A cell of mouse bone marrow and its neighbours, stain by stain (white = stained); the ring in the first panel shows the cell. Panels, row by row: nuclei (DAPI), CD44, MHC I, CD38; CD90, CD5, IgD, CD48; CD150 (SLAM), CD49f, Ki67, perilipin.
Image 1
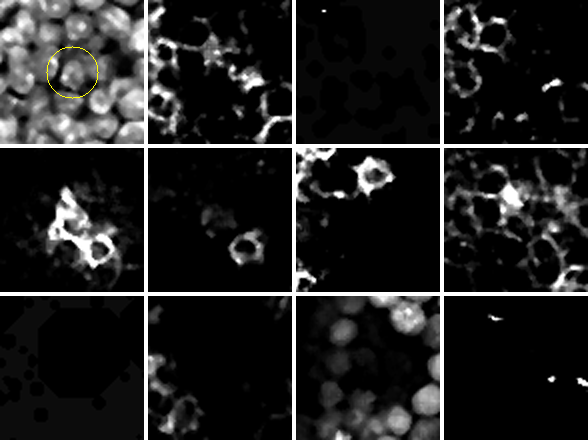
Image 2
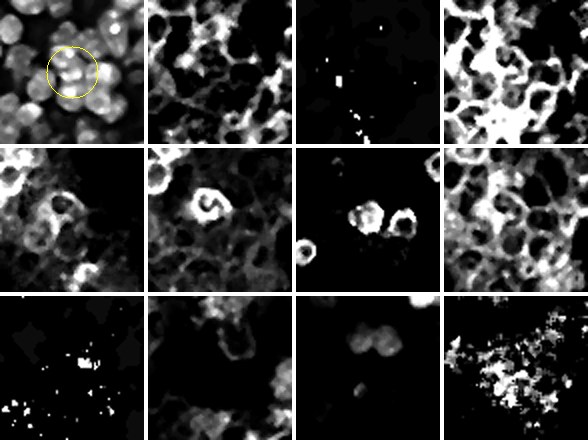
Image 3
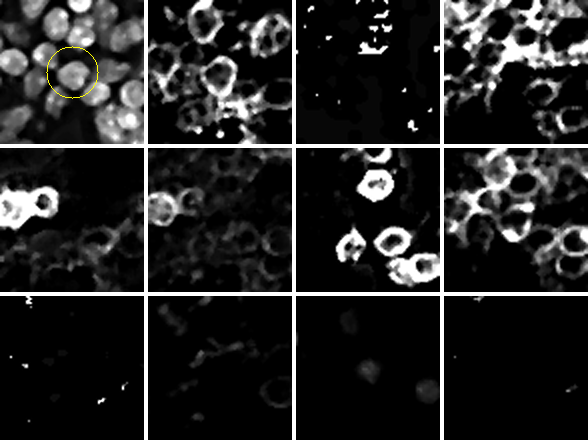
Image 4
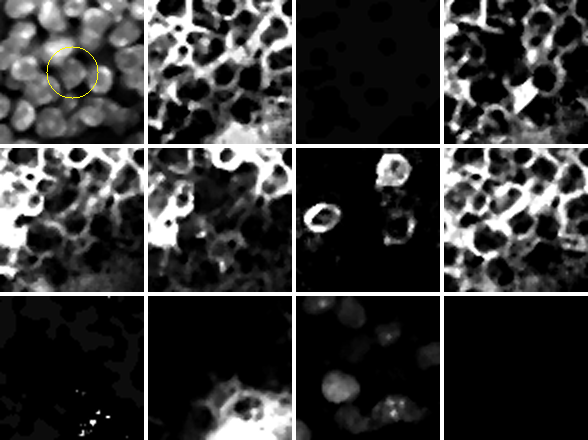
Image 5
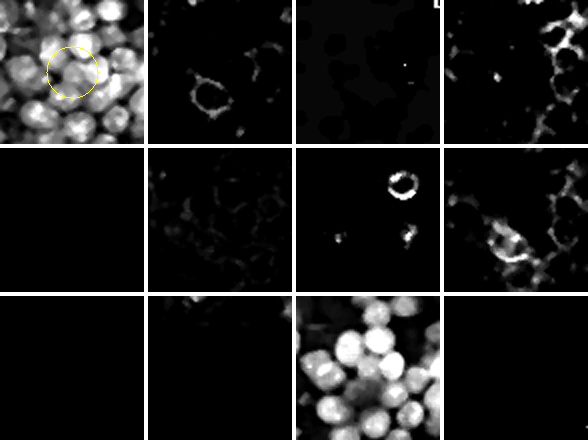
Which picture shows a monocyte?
Picture 3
